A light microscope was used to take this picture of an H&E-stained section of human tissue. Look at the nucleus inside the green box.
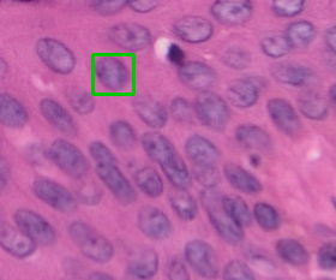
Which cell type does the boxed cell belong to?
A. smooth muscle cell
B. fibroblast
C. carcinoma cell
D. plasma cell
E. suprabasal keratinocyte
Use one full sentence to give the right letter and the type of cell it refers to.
The correct option is E, as the boxed cell is a suprabasal keratinocyte.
